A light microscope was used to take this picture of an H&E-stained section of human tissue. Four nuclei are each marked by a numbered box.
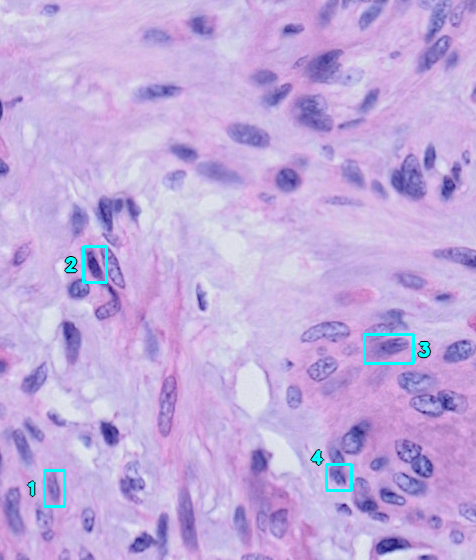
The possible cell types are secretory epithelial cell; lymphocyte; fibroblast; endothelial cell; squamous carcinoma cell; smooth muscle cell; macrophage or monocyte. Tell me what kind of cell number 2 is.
endothelial cell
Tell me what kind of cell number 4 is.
smooth muscle cell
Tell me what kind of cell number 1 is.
smooth muscle cell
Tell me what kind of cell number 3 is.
smooth muscle cell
